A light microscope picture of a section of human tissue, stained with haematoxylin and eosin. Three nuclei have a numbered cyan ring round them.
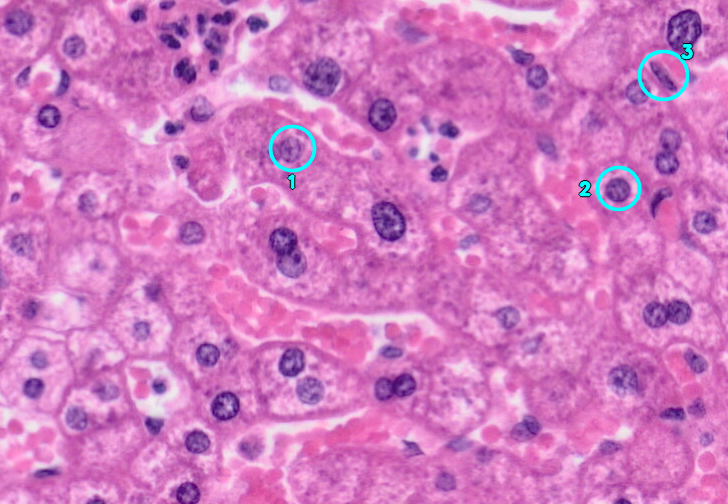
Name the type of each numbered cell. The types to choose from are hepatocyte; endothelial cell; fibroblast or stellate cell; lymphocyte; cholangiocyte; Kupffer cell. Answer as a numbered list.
1. hepatocyte
2. hepatocyte
3. Kupffer cell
